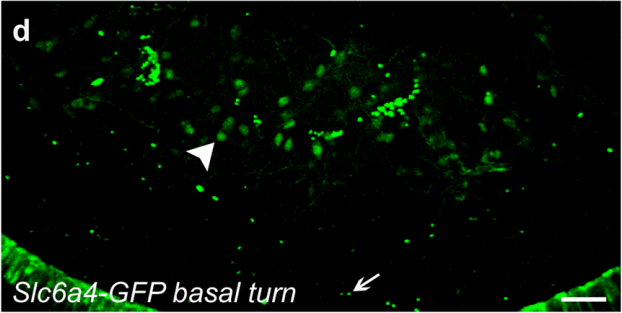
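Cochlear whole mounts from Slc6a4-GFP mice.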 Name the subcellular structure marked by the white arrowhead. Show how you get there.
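The arrowhead points at a faint rounded green cell body. Similar rounded bodies are scattered across the panel centre.
Hence: somata.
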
